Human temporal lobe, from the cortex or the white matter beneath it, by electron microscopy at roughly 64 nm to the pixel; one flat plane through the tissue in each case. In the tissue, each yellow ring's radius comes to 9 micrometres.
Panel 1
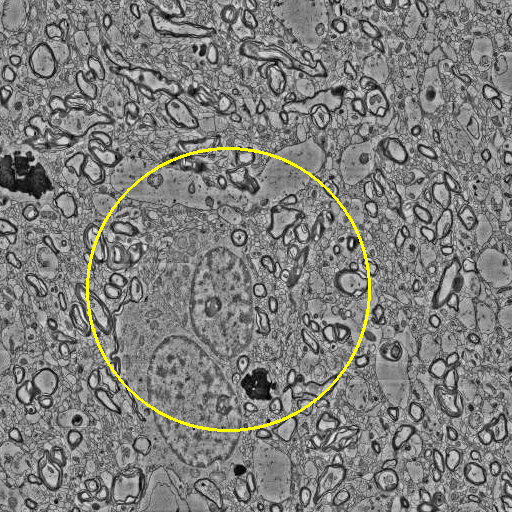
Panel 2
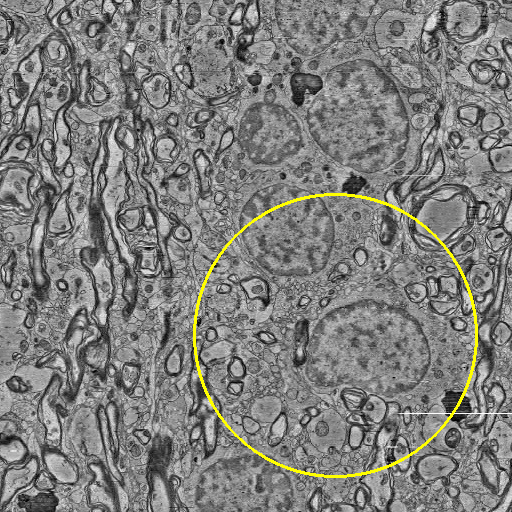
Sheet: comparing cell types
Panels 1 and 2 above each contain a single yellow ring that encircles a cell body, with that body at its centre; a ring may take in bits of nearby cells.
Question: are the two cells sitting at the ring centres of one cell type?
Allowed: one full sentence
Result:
Yes, the ring-centre cells in Panel 1 and Panel 2 are of one type.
